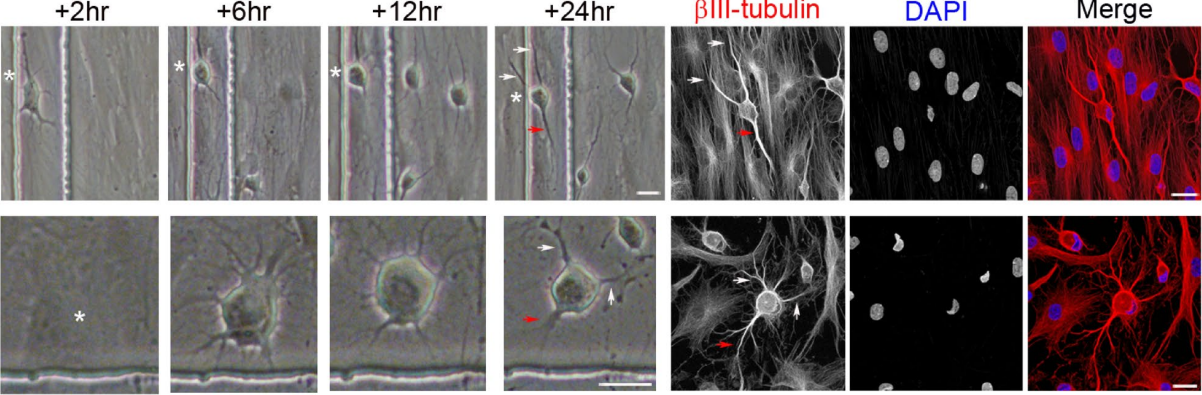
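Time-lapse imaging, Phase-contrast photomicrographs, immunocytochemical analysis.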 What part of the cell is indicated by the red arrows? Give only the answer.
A: axon-like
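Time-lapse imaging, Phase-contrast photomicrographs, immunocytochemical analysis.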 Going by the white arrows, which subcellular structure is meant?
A: Dendrite-like.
